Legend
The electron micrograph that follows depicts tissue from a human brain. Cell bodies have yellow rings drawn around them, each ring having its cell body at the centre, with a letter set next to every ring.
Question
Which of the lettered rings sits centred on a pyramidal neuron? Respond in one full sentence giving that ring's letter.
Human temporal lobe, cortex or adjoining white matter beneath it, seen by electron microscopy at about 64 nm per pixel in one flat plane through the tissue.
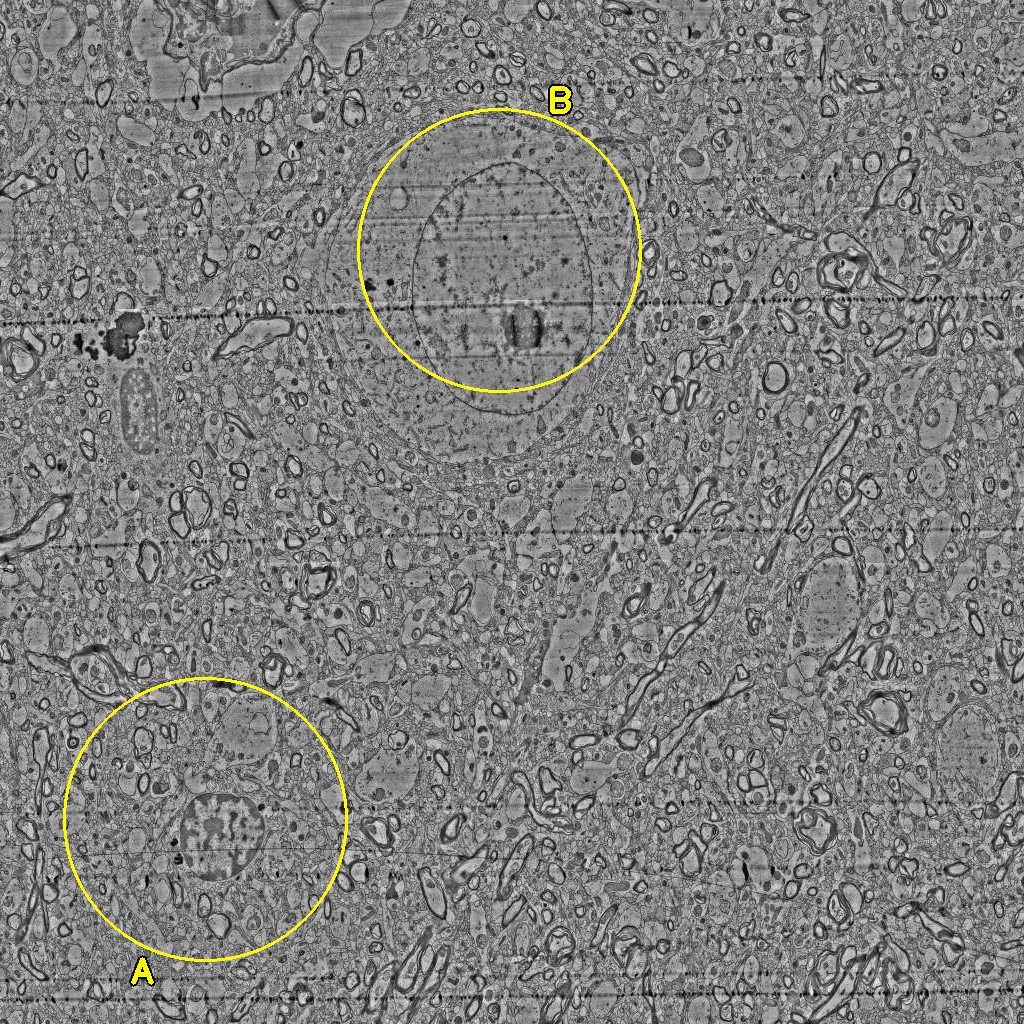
The letter B belongs to the ring centred on the cell asked about in the micrograph.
